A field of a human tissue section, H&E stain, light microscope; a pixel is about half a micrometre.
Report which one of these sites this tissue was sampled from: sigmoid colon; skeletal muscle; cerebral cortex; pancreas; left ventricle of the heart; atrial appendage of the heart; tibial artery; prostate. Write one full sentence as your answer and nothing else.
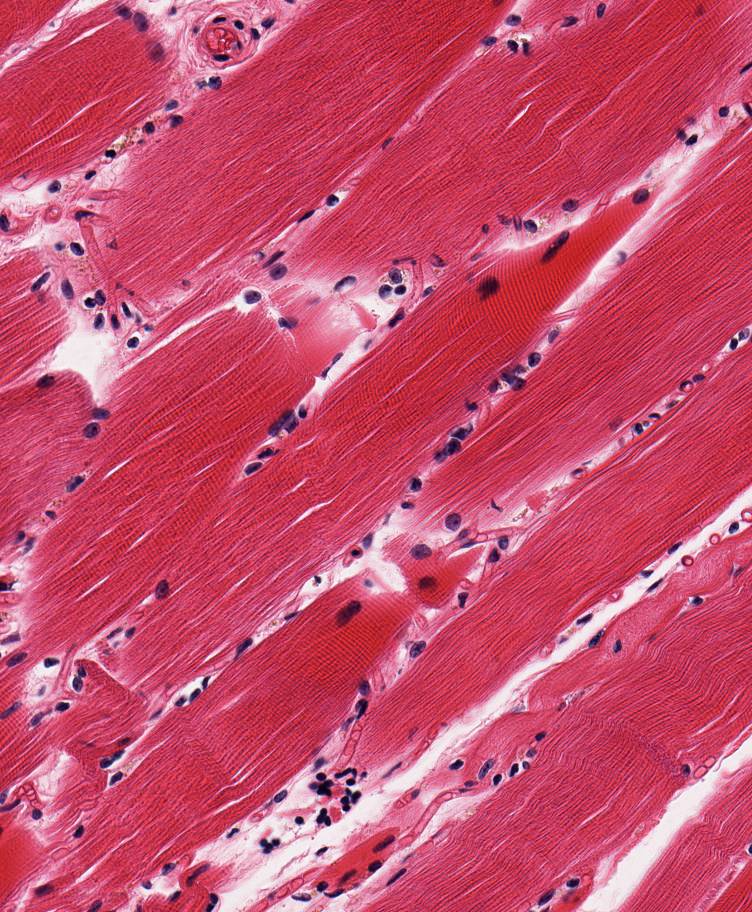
It was from the skeletal muscle that this tissue was sampled.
